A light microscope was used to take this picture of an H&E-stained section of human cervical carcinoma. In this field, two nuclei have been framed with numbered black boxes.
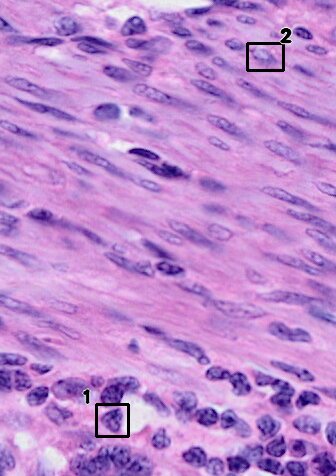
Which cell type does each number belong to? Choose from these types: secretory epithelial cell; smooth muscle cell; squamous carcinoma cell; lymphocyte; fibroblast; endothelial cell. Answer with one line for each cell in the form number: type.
1: lymphocyte
2: smooth muscle cell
